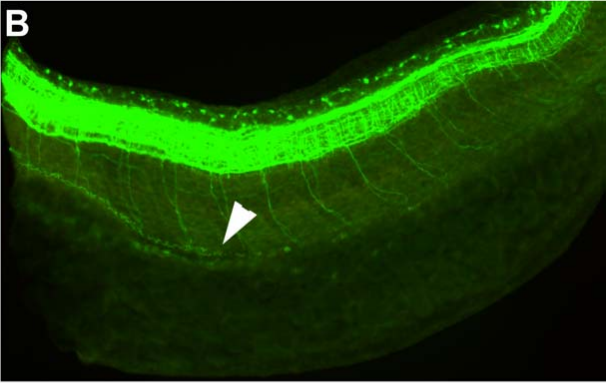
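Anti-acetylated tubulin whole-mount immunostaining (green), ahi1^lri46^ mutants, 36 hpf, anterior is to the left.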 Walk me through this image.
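A side view of the trunk shows a bright green band of longitudinal fibres along the top with thin fibres descending from it, while the beaded green line along the lower trunk is visible only in the front part and fades out towards the back. The ciliated lining of the pronephric duct is thus missing over its middle and distal length.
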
